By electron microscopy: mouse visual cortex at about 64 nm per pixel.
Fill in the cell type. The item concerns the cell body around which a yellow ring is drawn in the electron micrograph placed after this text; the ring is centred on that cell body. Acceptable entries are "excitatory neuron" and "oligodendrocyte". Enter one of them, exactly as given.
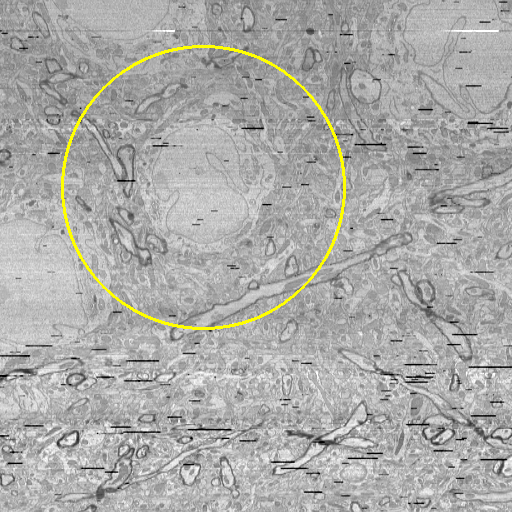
excitatory neuron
